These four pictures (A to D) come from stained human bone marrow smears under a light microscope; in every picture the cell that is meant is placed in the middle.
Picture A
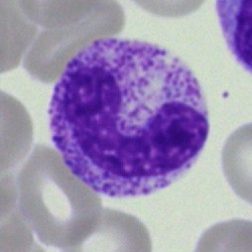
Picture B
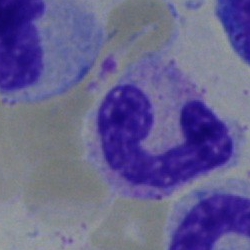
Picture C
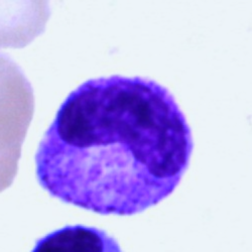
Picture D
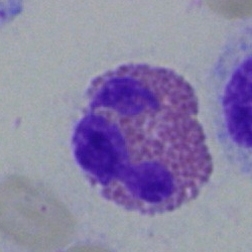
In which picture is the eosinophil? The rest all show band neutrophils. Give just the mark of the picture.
D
